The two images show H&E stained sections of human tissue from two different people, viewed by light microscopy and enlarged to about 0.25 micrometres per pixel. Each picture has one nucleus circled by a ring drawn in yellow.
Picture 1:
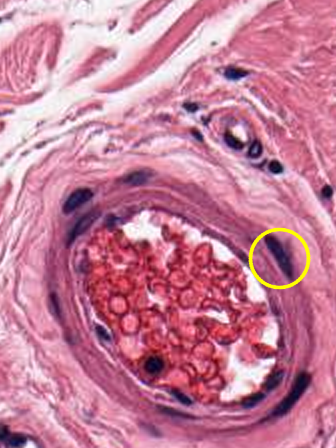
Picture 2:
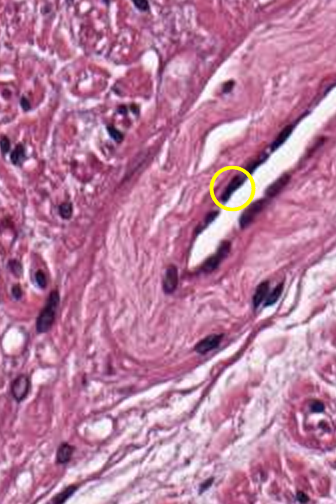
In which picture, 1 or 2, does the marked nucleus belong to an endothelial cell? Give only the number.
2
